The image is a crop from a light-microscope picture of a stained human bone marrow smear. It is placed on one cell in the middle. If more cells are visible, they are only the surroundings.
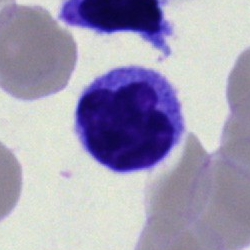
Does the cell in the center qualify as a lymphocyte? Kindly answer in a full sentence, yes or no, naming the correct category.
Yes, the central cell of this crop corresponds to a lymphocyte.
